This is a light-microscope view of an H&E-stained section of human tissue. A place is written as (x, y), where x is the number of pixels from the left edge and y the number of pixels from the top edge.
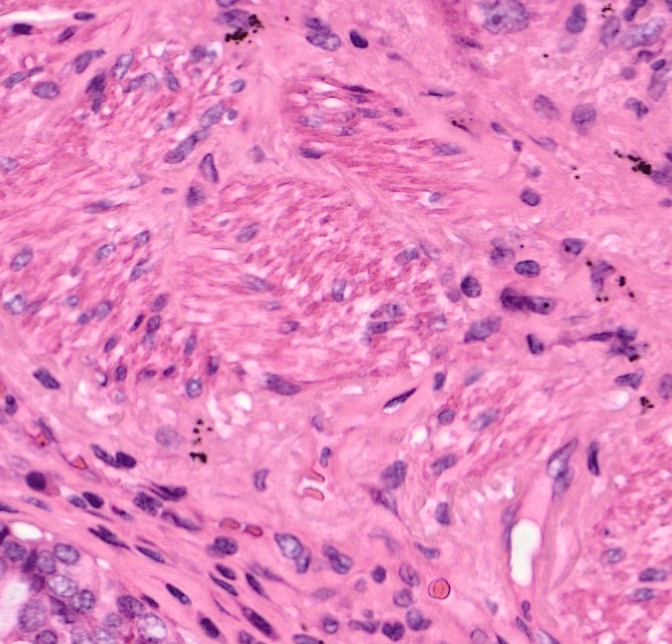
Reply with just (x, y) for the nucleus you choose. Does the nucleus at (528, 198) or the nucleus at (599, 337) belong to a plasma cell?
(599, 337)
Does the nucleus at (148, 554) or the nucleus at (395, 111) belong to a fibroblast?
(148, 554)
